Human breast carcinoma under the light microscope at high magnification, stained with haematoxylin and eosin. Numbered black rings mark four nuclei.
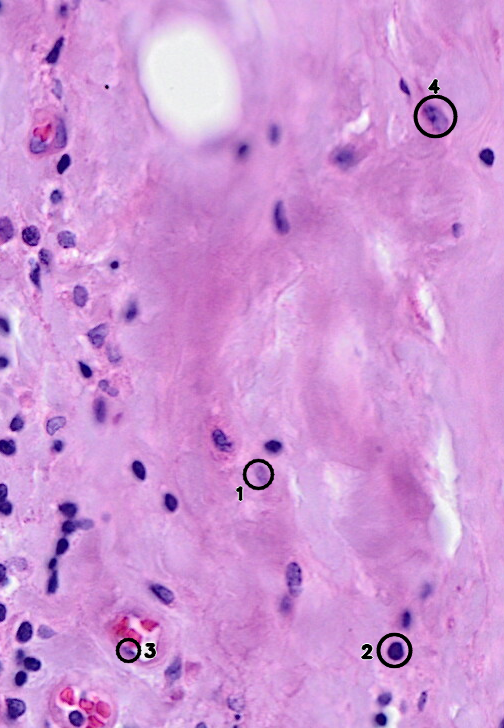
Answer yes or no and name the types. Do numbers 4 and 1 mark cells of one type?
No, cell 4 is a mast cell, with cell 1 being a fibroblast.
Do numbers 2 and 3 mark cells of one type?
No, with respect, cell 2 is a lymphocyte and cell 3 is an endothelial cell.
